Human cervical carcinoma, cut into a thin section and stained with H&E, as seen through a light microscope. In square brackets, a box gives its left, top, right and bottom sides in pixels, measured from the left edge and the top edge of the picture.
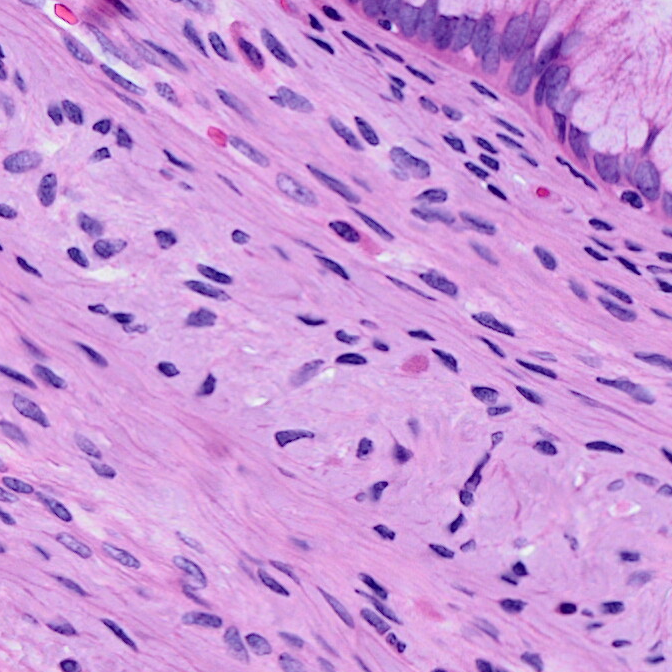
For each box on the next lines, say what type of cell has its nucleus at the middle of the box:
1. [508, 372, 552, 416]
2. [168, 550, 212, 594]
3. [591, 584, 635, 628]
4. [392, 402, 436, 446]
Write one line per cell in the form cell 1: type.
cell 1: fibroblast
cell 2: smooth muscle cell
cell 3: fibroblast
cell 4: fibroblast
